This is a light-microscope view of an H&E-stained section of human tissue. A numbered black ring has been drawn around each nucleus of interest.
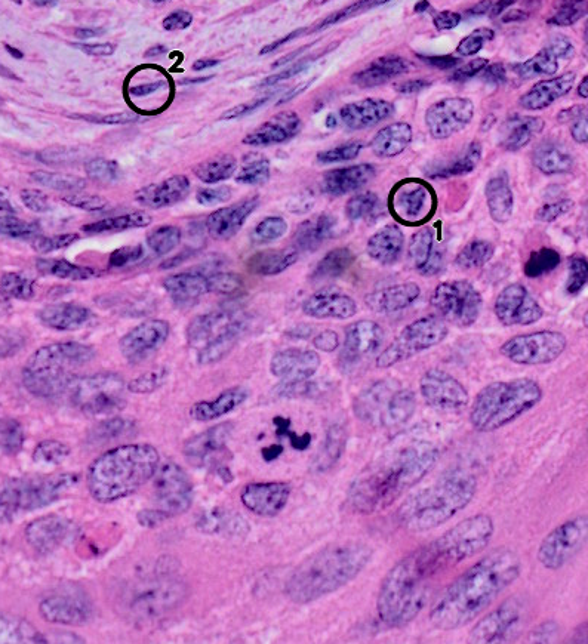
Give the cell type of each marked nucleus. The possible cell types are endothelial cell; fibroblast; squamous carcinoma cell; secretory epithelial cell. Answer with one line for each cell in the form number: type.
1: squamous carcinoma cell
2: fibroblast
